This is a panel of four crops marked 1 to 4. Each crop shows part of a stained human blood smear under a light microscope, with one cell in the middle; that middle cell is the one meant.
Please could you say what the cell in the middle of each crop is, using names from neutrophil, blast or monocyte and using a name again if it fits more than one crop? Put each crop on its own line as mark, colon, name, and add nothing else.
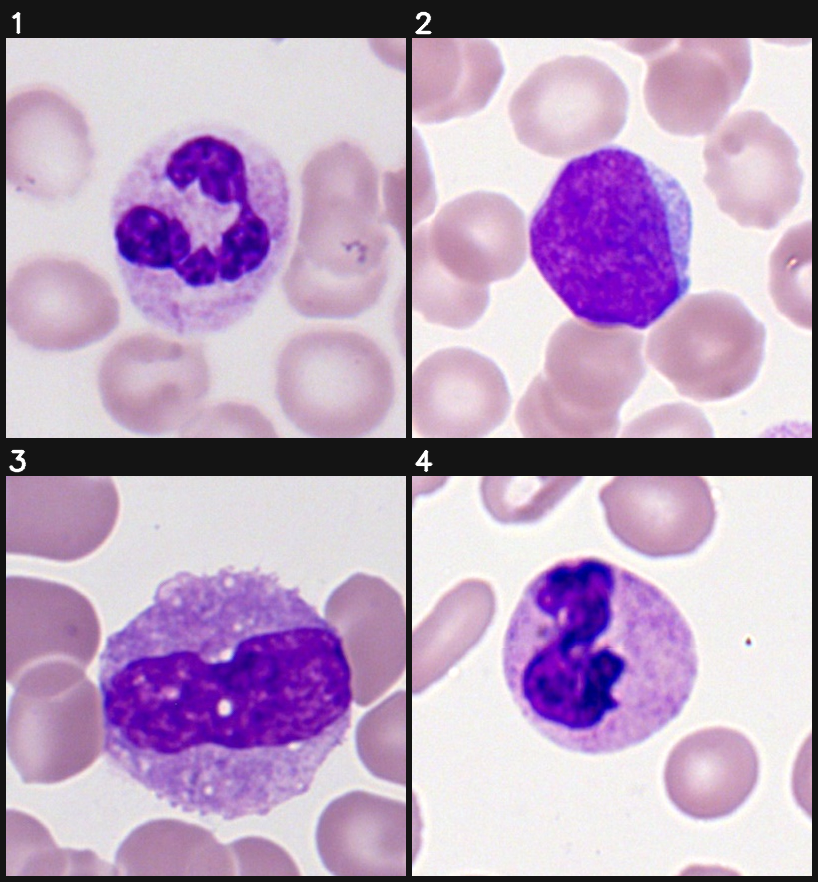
1: neutrophil
2: blast
3: monocyte
4: neutrophil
